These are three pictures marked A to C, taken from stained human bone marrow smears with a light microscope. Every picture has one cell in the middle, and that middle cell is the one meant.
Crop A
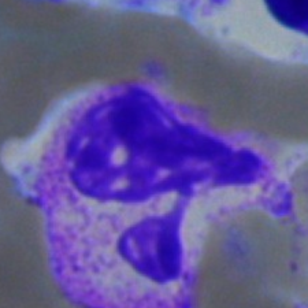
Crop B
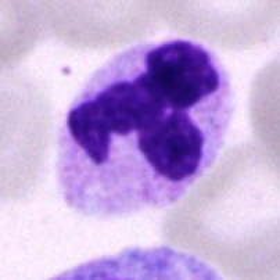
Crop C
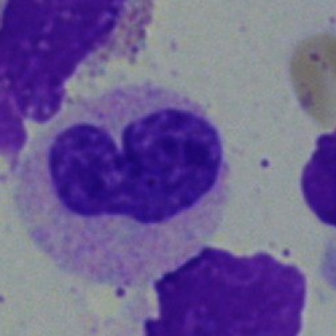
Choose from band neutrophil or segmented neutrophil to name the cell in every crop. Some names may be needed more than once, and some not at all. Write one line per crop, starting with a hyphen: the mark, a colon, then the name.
- A: segmented neutrophil
- B: segmented neutrophil
- C: band neutrophil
